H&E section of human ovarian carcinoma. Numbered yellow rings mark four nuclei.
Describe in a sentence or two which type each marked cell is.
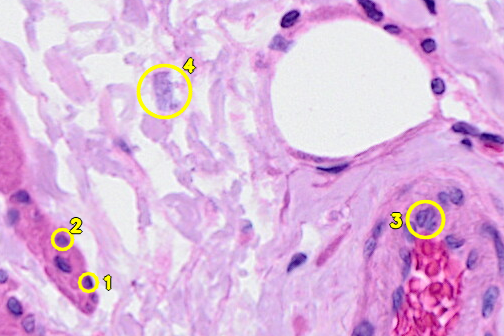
Cells 1 and 2 are smooth muscle cells. Cell 3 is an endothelial cell. Cell 4 is a fibroblast.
